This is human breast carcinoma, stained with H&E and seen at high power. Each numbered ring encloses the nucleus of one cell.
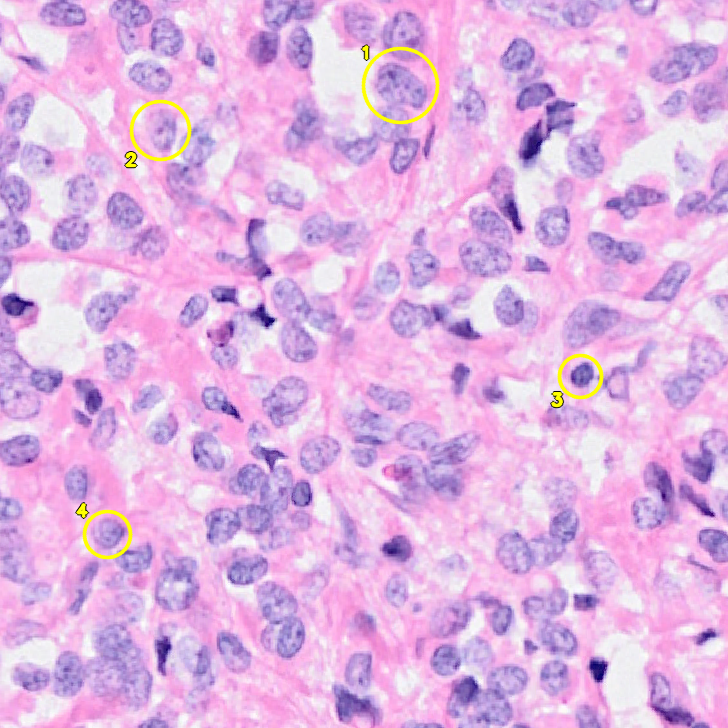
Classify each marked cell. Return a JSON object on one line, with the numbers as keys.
{"1": "carcinoma cell", "2": "carcinoma cell", "3": "lymphocyte", "4": "carcinoma cell"}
